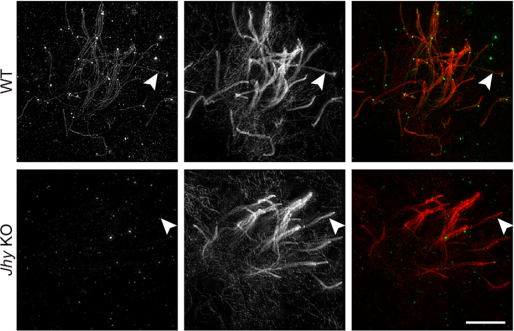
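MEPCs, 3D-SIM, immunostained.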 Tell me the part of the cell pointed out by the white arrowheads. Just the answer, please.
cilia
